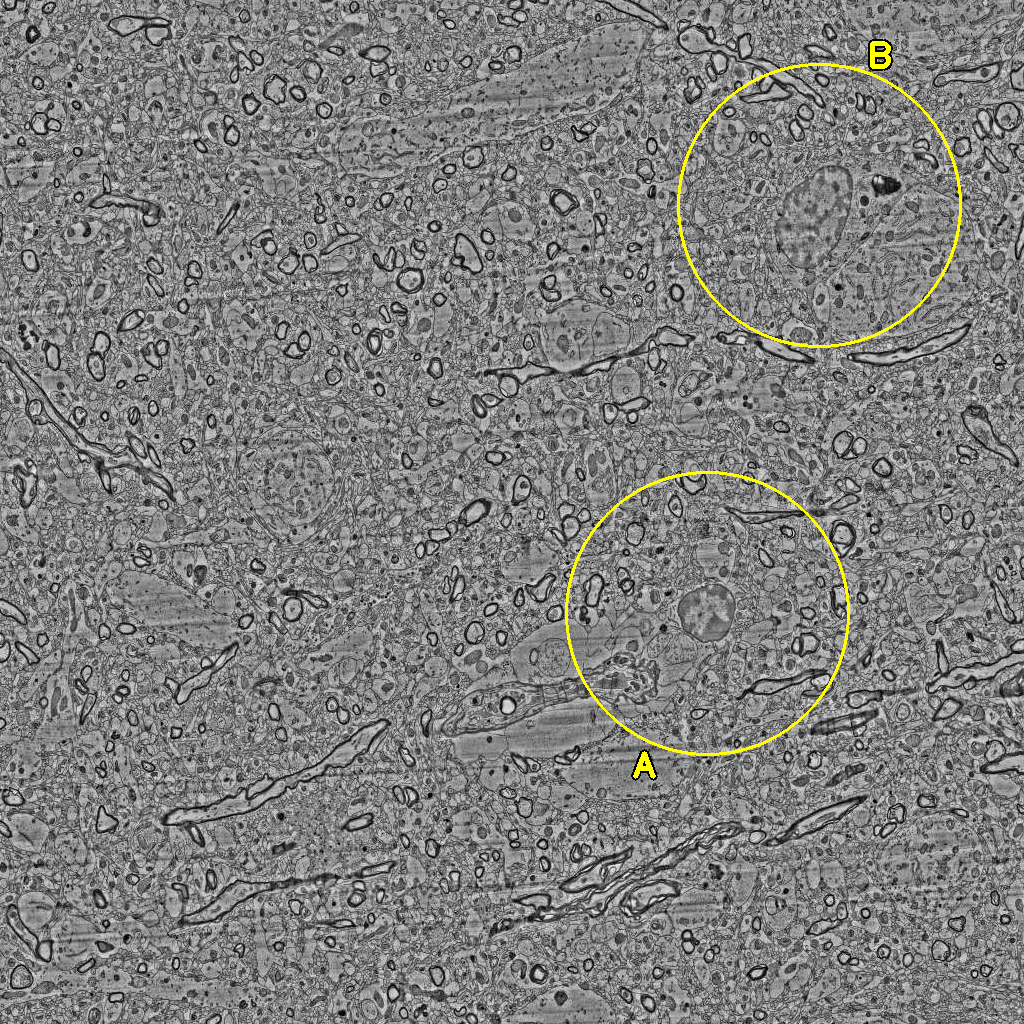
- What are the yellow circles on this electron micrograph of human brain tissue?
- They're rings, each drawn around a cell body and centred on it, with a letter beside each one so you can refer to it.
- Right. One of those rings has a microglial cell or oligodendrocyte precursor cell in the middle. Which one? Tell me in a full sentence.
It's ring A.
